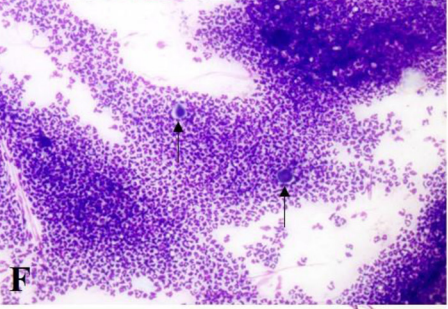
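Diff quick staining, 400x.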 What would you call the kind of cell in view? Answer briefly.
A: Neutrophils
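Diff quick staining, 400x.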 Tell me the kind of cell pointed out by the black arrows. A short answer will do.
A: Acantholytic cells.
